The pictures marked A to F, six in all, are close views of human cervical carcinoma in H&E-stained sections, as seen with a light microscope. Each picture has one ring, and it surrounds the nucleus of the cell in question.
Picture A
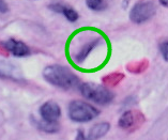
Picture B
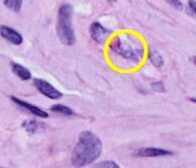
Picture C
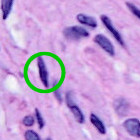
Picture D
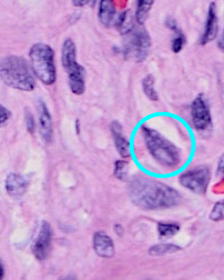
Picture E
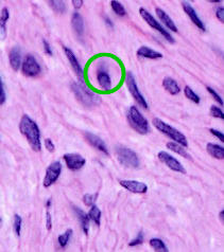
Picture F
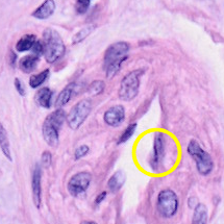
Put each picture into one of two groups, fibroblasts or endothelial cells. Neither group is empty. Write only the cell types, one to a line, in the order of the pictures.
endothelial cell
endothelial cell
fibroblast
endothelial cell
fibroblast
endothelial cell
